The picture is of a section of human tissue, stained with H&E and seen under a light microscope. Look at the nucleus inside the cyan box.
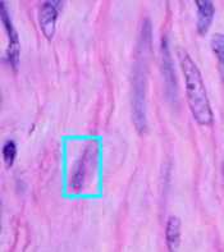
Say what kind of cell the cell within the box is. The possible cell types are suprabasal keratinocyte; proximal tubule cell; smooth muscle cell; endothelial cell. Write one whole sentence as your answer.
The expected answer is simply that the cell within the box is a smooth muscle cell.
